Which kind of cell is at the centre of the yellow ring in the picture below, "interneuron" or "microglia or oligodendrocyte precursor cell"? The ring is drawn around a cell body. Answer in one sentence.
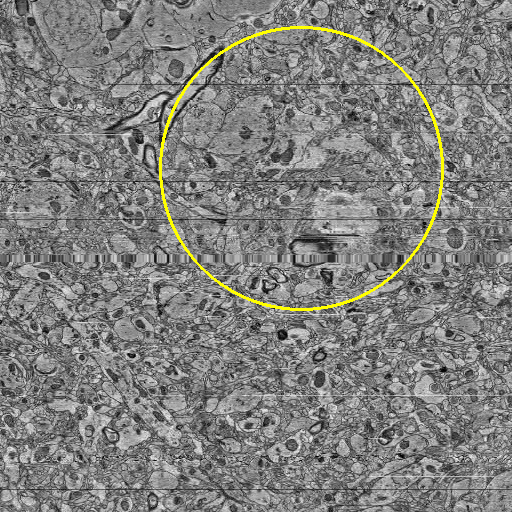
The ring's central cell is a microglial cell or oligodendrocyte precursor cell.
